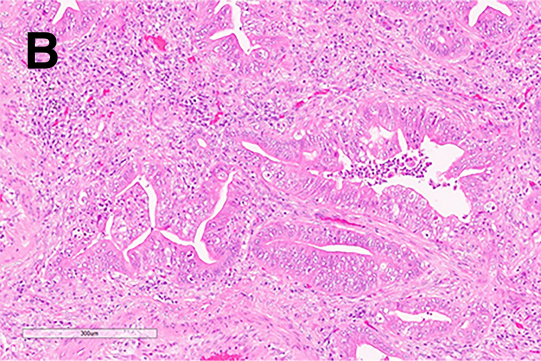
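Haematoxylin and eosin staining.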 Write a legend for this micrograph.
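This is a gland-forming tumour, with irregular glandular structures scattered through a pink, cellular stroma. The glands have angular, branching and slit-like lumens of varying size, some holding clusters of small dark inflammatory cells and debris. The cytoplasm of these lining cells is pink, or eosinophilic.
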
